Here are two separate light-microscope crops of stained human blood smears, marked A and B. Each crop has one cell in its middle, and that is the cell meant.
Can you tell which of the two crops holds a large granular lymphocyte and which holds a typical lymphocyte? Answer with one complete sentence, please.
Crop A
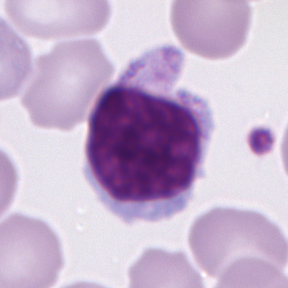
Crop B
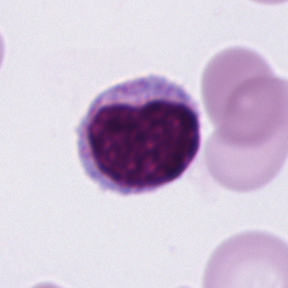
Crop A holds a typical lymphocyte; crop B holds a large granular lymphocyte.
